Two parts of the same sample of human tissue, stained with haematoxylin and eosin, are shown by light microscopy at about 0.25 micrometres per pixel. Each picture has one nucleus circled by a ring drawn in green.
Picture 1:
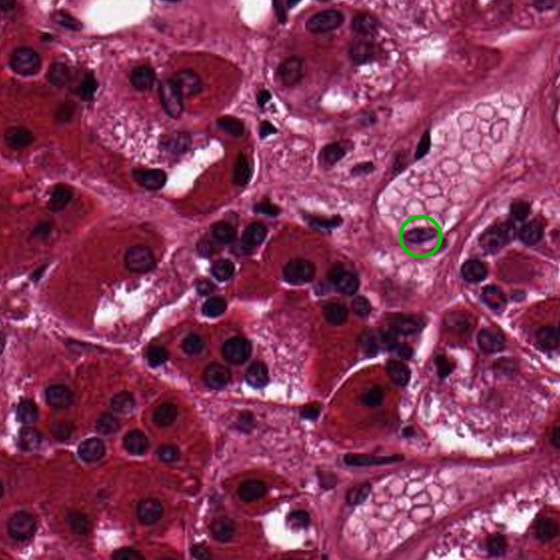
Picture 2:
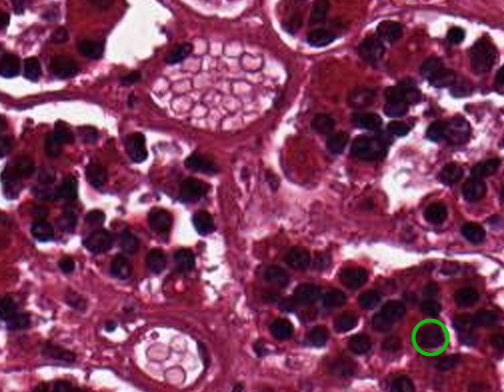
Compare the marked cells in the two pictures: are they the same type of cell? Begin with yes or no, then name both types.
No, the first is an endothelial cell and the second an anterior pituitary cell.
